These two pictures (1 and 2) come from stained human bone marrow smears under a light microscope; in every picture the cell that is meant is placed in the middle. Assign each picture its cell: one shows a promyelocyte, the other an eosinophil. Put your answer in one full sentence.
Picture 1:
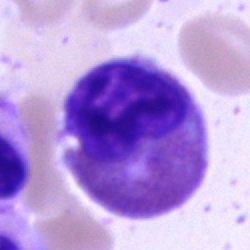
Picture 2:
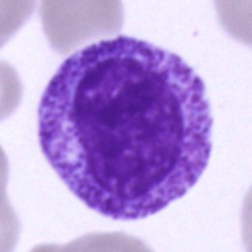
Picture 2 shows a promyelocyte, while picture 1 shows an eosinophil.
